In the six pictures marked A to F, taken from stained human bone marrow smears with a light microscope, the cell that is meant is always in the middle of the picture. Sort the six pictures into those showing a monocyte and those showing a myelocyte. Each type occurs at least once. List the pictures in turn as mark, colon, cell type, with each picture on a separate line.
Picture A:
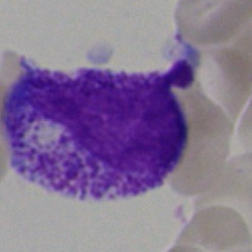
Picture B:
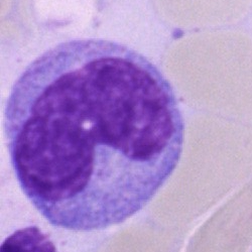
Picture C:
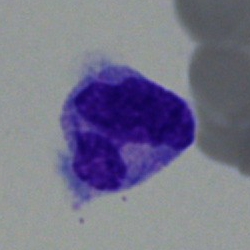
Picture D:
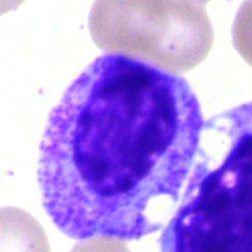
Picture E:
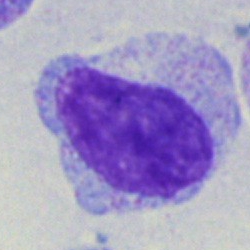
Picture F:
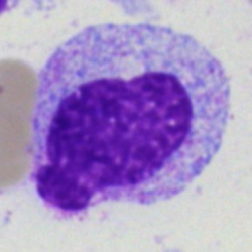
A: myelocyte
B: monocyte
C: monocyte
D: myelocyte
E: myelocyte
F: myelocyte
